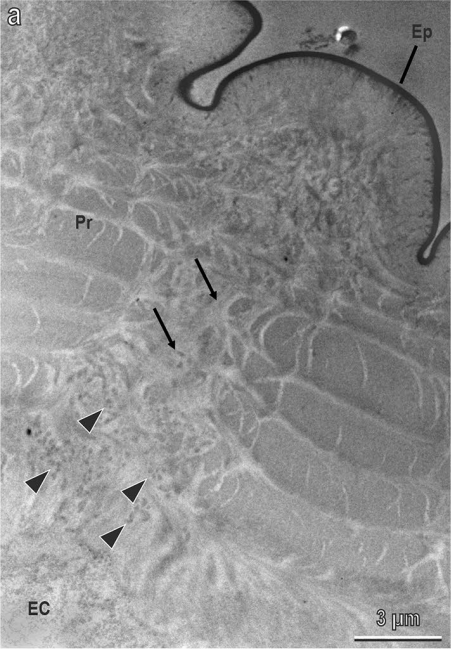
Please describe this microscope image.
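A thin, very dark, wavy line forms the outer surface, and beneath it lies a thick matrix built of many parallel, gently curved layers stacked like a series of plates. The layered matrix is interrupted by wide, pale, branching channels that run from the cells below toward the dark outer line. Near the bottom left, the granular cytoplasm of the epithelial cells carries scattered small electron-dense dots close to the base of these channels.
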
